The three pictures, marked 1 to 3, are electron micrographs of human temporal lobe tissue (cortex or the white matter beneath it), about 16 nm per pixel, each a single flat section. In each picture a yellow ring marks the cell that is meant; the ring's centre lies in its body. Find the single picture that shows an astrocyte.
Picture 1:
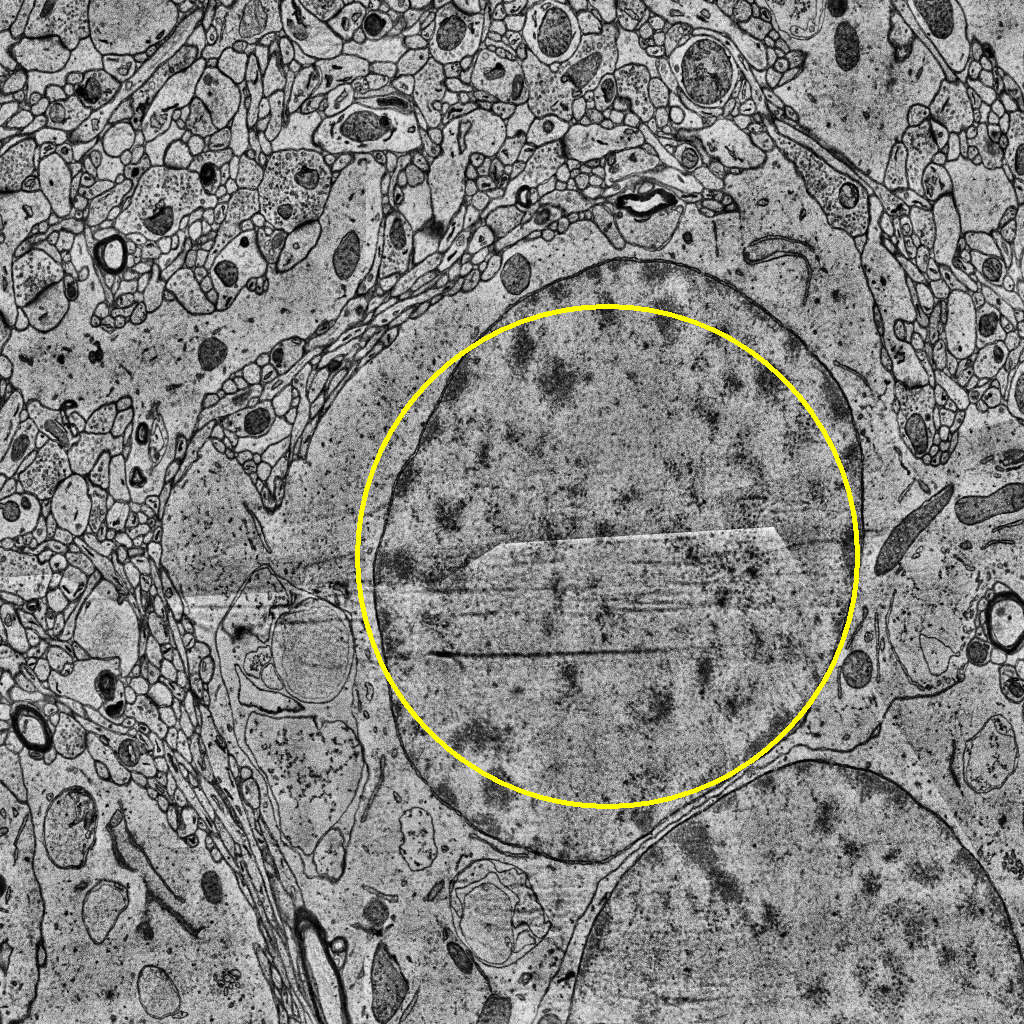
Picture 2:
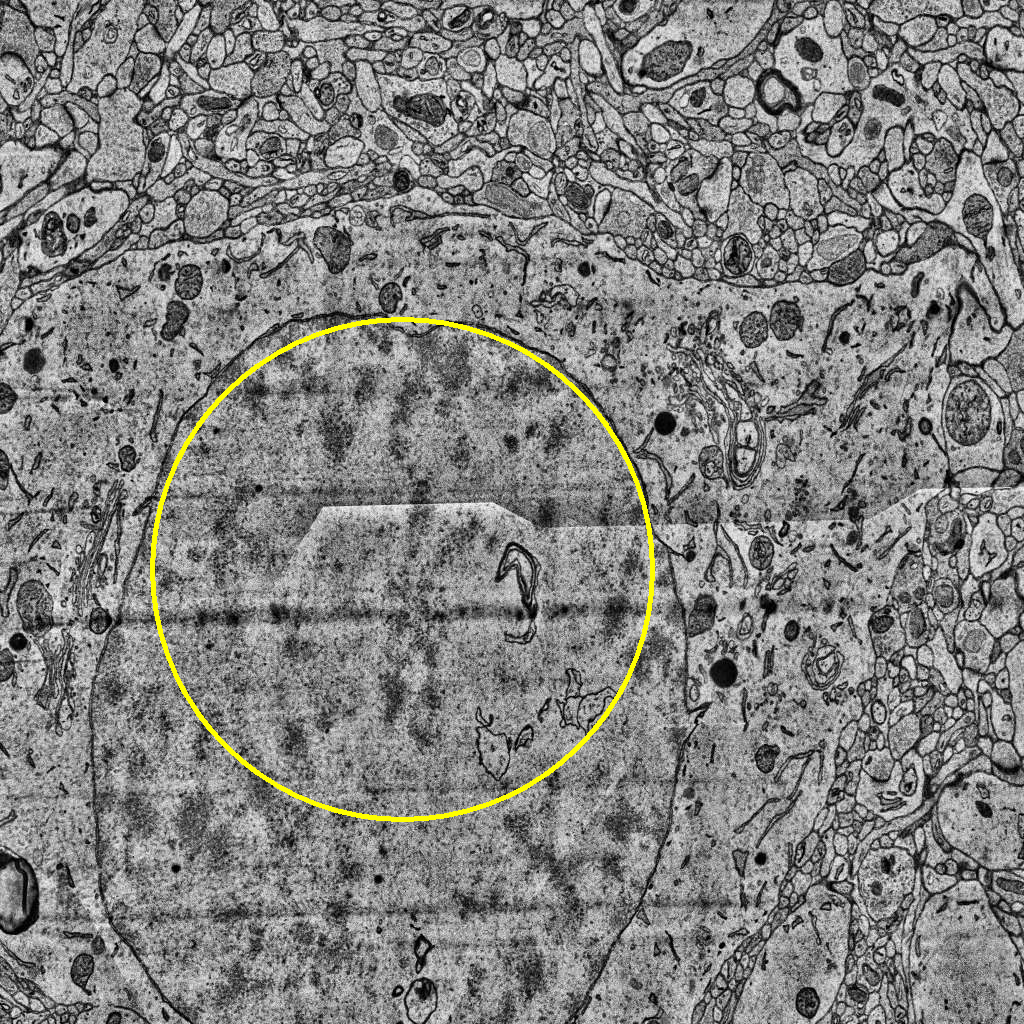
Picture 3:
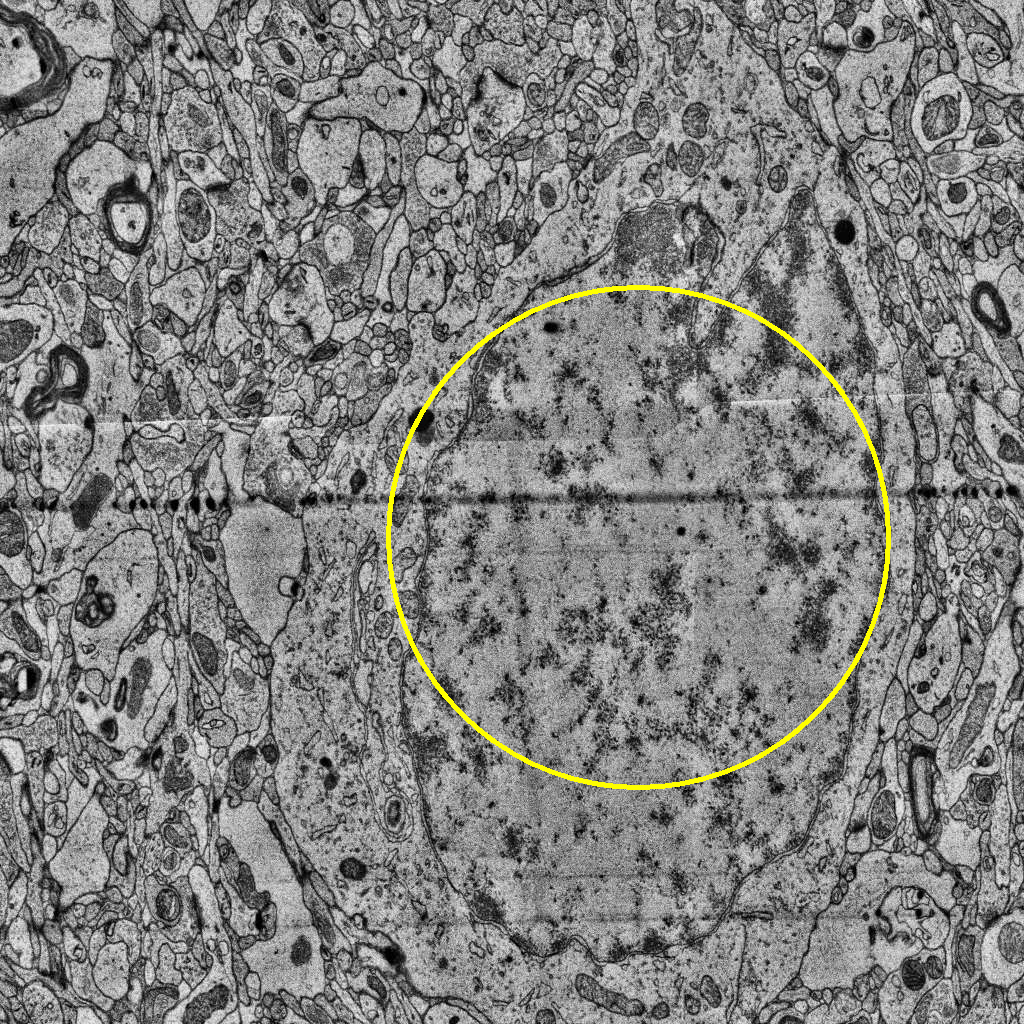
It is picture 1 that shows the astrocyte.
